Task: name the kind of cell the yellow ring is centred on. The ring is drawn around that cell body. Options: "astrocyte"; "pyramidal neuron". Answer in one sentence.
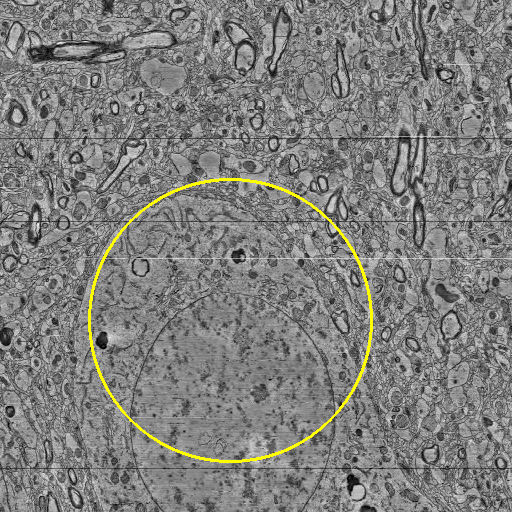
This cell body belongs to a pyramidal neuron.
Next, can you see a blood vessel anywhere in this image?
No, a blood vessel is absent from this picture.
